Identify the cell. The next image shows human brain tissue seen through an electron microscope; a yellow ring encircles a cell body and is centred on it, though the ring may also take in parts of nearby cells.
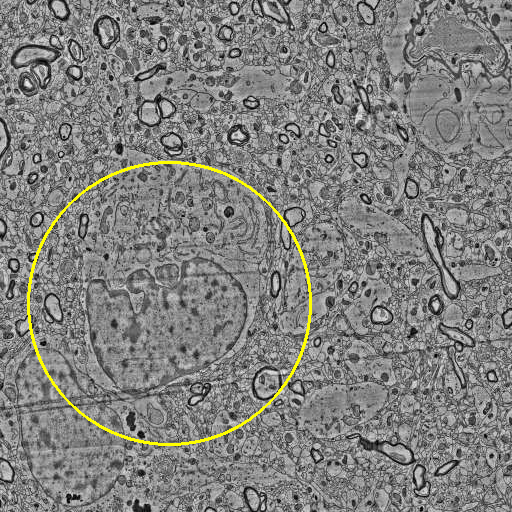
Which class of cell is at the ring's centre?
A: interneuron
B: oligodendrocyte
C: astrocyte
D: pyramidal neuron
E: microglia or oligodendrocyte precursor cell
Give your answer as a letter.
E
